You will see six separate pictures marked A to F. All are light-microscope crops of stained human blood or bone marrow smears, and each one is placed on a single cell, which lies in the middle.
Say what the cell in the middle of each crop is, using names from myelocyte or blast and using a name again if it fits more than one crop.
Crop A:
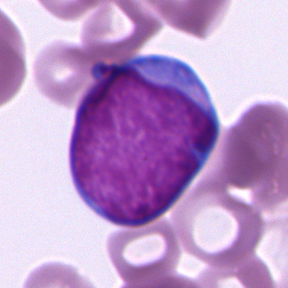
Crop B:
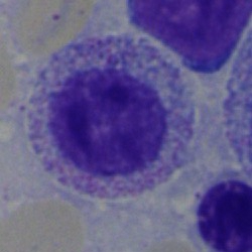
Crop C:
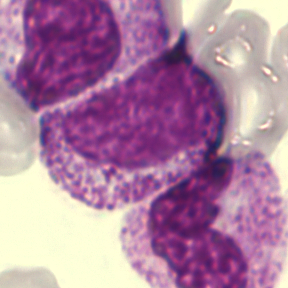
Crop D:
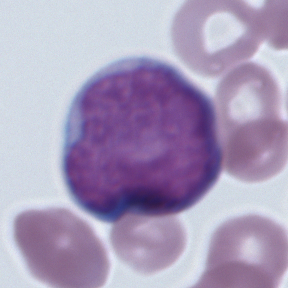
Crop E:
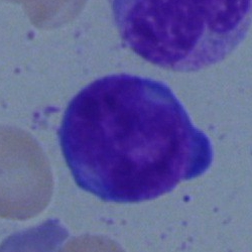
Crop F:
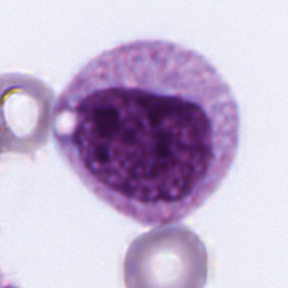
A: blast
B: myelocyte
C: myelocyte
D: blast
E: blast
F: myelocyte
